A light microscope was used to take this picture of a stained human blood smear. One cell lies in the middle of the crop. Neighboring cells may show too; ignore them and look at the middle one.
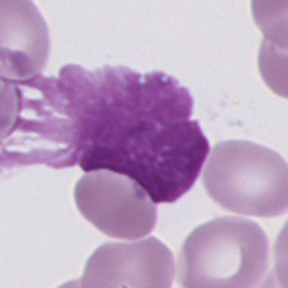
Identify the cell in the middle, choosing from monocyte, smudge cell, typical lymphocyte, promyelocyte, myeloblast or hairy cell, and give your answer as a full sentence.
The single cell at the center of the crop is a smudge cell.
